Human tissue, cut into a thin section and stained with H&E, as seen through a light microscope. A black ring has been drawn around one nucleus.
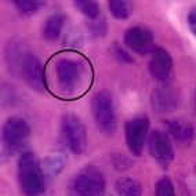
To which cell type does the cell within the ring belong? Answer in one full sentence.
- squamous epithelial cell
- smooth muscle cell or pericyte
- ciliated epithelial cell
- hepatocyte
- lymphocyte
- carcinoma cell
By its classification, the cell within the ring is a squamous epithelial cell.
